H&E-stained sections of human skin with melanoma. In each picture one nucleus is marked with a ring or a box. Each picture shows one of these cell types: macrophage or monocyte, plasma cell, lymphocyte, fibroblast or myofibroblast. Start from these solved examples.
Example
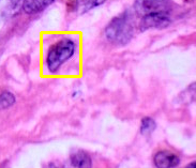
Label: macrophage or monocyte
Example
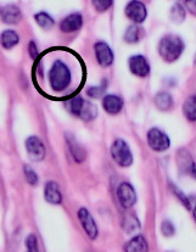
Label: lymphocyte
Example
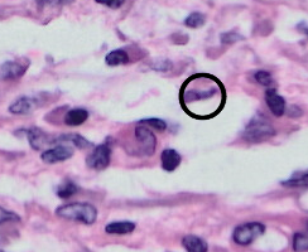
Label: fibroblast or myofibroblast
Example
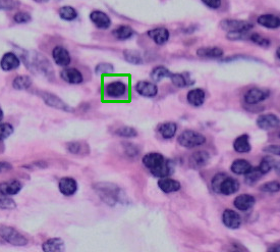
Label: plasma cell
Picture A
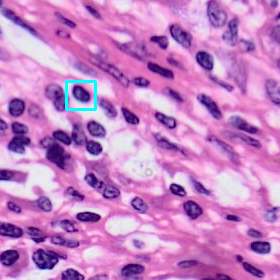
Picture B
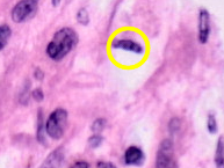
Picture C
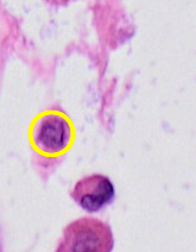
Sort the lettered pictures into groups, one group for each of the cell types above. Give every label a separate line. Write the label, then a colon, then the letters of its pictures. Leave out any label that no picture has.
macrophage or monocyte: C
lymphocyte: A
fibroblast or myofibroblast: B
